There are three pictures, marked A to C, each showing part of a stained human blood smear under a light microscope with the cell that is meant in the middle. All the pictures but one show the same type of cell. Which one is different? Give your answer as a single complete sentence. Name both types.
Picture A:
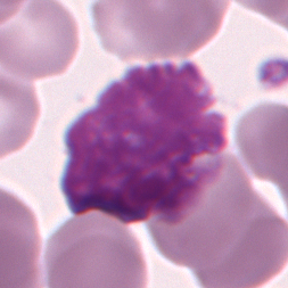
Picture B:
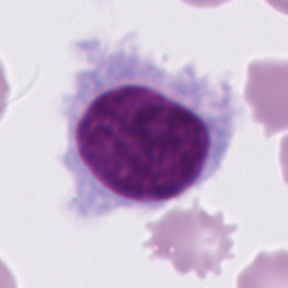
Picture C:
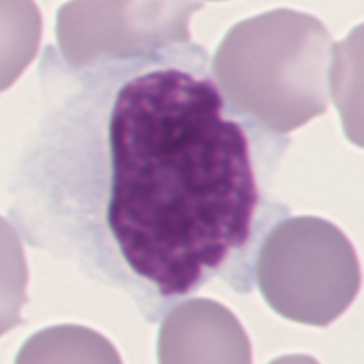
Picture A is the odd one out: it shows a smudge cell, while the others show hairy cells.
